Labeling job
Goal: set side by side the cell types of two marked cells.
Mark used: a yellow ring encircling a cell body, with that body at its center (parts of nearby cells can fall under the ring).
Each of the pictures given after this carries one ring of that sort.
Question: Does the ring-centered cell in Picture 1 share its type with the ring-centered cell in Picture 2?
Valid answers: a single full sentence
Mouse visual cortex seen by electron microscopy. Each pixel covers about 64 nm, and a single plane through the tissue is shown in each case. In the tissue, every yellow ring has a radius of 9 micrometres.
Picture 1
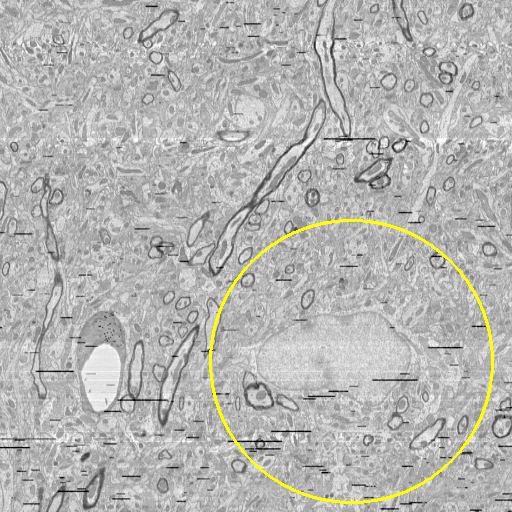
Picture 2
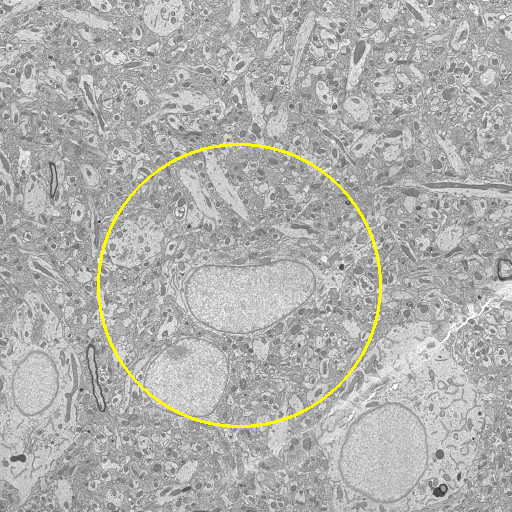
Yes, in Pictures 1 and 2 the cells at the ring centers share one type.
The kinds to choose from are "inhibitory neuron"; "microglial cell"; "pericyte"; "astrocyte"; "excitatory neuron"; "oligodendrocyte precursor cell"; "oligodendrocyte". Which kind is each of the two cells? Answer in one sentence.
Both the first and the second picture show an astrocyte in the ring.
